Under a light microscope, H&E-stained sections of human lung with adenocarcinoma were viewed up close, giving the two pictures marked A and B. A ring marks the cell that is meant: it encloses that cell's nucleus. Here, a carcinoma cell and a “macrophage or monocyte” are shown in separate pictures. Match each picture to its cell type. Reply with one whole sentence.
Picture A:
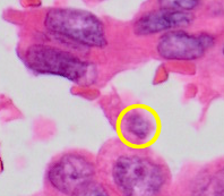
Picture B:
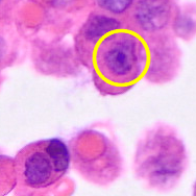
Picture A is of a “macrophage or monocyte”, and picture B is of a carcinoma cell.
